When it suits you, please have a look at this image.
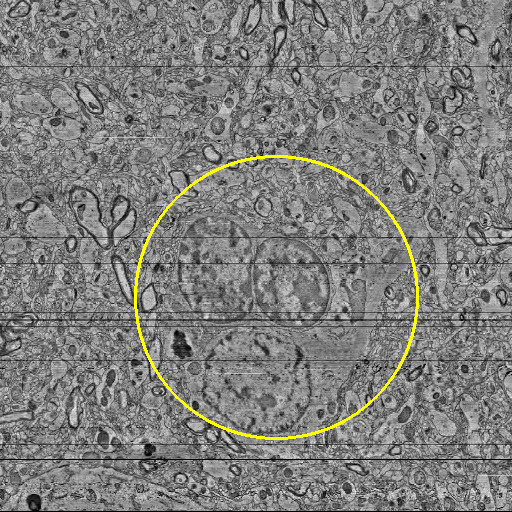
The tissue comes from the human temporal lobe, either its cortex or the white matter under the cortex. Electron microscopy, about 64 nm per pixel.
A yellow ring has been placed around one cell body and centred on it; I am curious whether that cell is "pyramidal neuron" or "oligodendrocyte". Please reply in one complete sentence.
The ringed cell, an oligodendrocyte, has its body at the centre of the yellow ring.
